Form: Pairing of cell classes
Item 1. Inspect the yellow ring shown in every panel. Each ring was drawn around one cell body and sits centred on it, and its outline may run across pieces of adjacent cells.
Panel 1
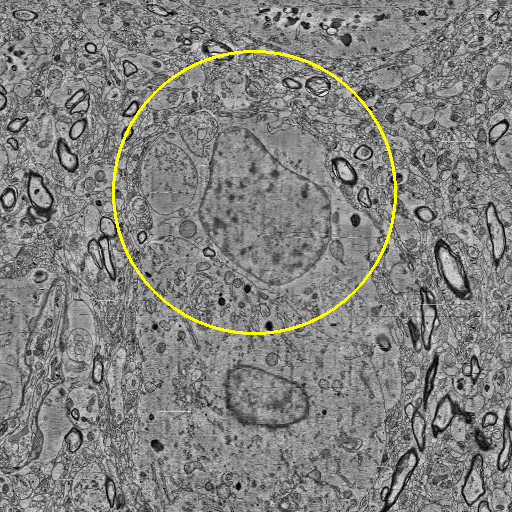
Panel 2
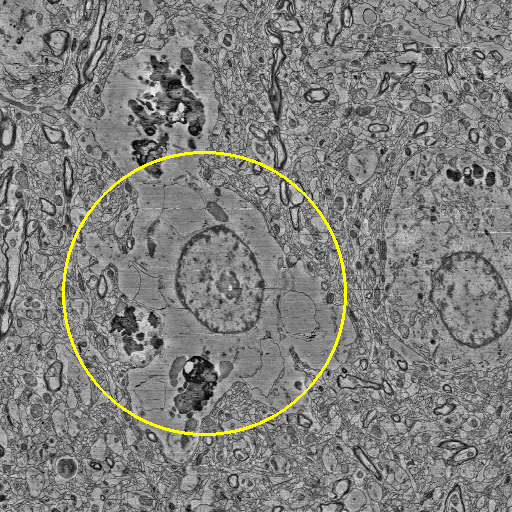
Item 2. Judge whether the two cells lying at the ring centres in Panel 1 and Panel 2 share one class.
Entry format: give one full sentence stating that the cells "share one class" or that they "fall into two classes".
The cells at the ring centres in Panel 1 and Panel 2 share one class.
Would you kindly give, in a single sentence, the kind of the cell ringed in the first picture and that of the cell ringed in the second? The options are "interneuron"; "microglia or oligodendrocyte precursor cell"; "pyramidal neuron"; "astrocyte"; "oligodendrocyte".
The second cell is an astrocyte, just as the first is.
